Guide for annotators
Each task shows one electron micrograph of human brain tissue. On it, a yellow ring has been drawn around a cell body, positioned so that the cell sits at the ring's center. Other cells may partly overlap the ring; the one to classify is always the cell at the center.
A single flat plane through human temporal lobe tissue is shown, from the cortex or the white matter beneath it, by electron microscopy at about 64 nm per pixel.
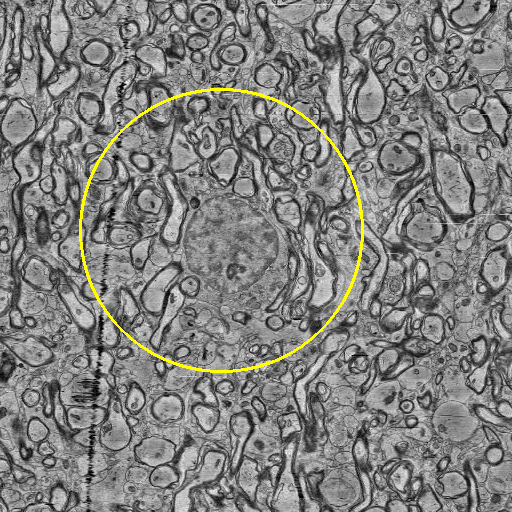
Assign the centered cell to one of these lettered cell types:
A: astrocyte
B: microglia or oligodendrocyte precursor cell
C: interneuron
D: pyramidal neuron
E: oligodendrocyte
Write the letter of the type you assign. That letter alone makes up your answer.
E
